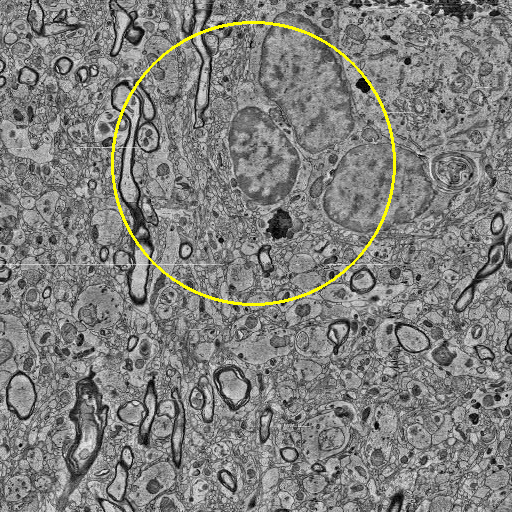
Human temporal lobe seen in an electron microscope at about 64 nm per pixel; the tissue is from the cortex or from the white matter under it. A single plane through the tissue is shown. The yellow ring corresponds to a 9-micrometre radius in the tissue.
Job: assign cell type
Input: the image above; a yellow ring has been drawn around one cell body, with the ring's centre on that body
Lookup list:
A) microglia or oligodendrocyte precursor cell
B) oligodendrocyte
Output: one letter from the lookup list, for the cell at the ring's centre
A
